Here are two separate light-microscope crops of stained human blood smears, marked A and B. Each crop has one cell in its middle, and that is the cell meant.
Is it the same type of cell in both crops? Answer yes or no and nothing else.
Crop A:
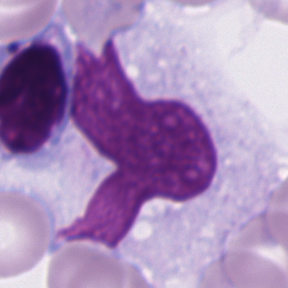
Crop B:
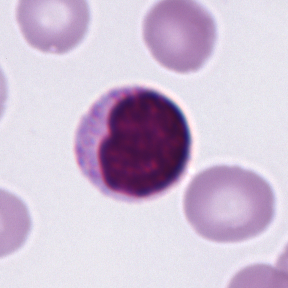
no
